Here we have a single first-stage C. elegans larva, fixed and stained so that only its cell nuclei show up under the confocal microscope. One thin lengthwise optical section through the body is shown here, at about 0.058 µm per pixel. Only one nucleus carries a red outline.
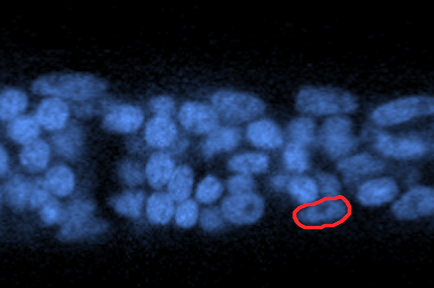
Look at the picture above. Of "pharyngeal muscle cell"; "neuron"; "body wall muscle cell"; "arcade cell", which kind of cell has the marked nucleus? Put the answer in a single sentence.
The marked cell is a body wall muscle cell.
